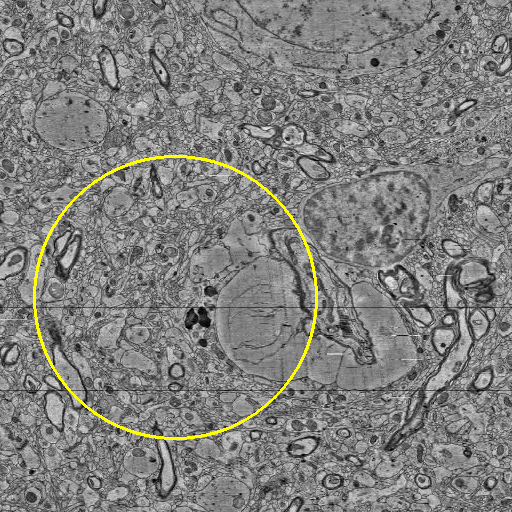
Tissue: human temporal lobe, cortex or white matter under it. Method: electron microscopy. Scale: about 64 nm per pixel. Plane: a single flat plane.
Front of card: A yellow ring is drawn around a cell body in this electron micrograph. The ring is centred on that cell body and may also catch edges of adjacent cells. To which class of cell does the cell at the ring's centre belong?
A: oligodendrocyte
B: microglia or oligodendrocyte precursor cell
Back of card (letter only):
B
